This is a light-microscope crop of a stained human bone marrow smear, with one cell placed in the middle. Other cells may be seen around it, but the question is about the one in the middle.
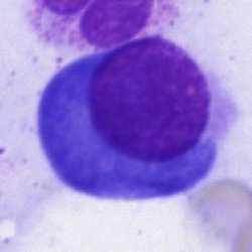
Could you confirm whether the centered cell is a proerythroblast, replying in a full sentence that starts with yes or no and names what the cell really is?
No, the central cell isn't a proerythroblast, but a plasma cell.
